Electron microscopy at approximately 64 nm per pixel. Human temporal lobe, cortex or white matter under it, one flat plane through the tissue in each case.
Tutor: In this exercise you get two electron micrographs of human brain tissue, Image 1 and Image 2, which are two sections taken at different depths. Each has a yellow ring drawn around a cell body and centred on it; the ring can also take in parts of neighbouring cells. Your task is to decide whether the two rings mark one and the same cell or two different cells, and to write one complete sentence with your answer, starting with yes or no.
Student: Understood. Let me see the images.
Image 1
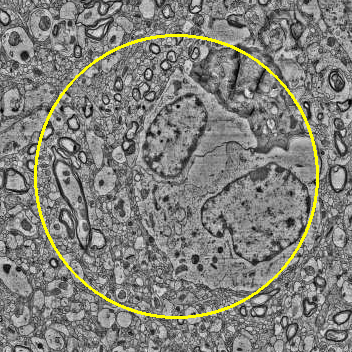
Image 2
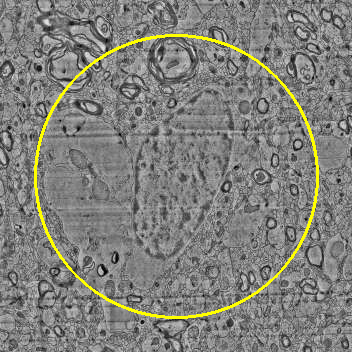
No, two separate cells are outlined by these yellow rings.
